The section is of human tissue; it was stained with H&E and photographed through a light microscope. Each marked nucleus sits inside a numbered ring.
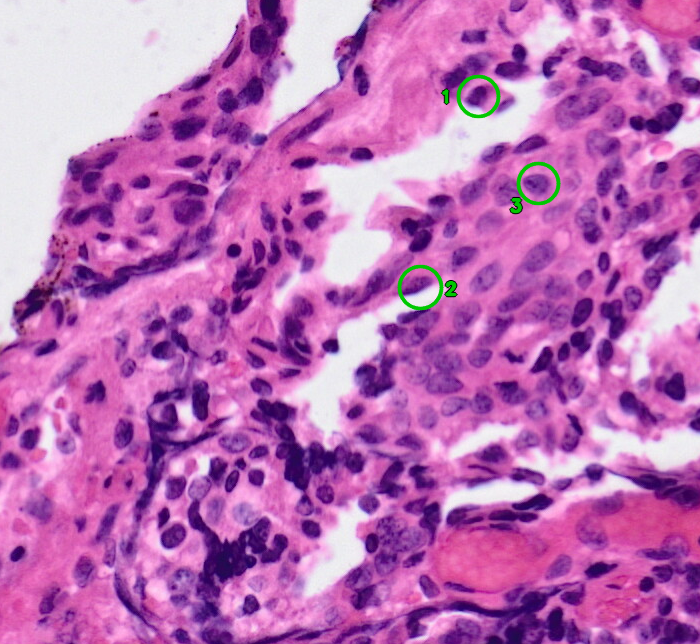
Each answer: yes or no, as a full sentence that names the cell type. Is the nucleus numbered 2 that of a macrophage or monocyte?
No, the cell labelled number 2 is not a macrophage or monocyte; it is a carcinoma cell.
